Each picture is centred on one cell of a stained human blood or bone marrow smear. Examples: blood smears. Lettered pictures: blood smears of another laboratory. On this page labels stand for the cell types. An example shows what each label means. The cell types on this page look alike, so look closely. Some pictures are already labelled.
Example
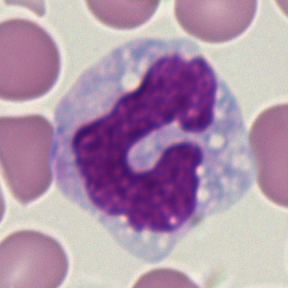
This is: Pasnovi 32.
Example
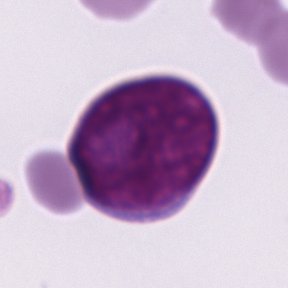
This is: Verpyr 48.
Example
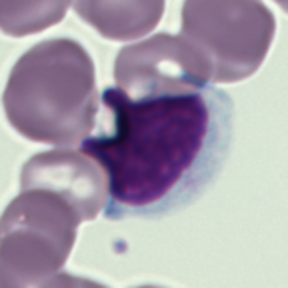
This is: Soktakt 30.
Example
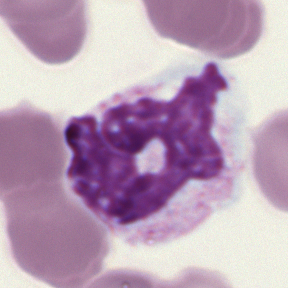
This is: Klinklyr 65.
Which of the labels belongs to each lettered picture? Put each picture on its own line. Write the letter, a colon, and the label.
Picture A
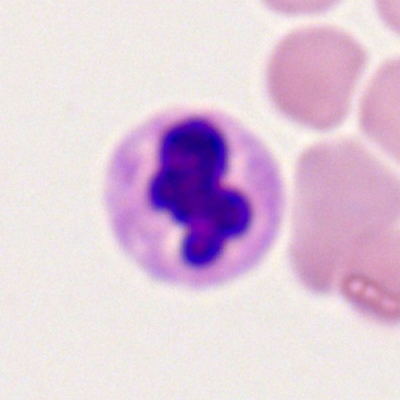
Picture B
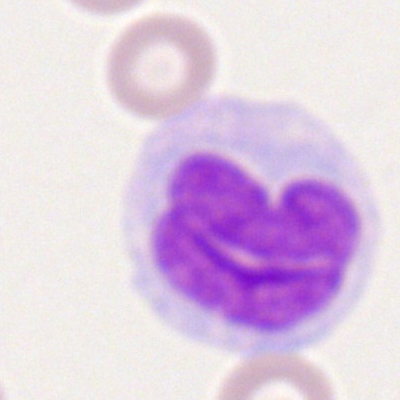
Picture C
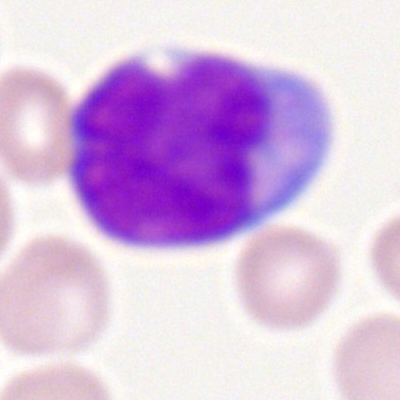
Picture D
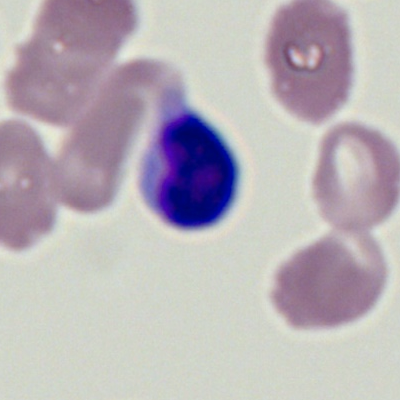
A: Klinklyr 65.
B: Pasnovi 32.
C: Verpyr 48.
D: Soktakt 30.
